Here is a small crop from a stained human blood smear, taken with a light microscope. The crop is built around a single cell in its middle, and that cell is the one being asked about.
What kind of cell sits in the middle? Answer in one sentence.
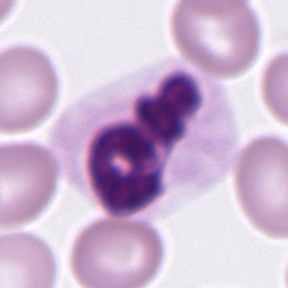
In the middle of this smear crop, the cell is a segmented neutrophil.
